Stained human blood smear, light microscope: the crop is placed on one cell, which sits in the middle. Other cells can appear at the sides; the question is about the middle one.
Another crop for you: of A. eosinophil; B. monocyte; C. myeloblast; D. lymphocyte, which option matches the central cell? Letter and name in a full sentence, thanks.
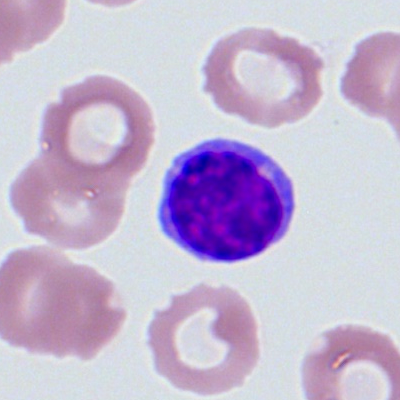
Option D is the correct option, with the middle cell being a lymphocyte.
